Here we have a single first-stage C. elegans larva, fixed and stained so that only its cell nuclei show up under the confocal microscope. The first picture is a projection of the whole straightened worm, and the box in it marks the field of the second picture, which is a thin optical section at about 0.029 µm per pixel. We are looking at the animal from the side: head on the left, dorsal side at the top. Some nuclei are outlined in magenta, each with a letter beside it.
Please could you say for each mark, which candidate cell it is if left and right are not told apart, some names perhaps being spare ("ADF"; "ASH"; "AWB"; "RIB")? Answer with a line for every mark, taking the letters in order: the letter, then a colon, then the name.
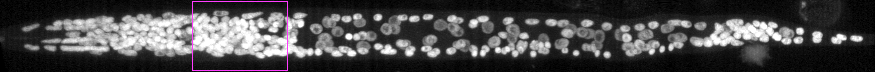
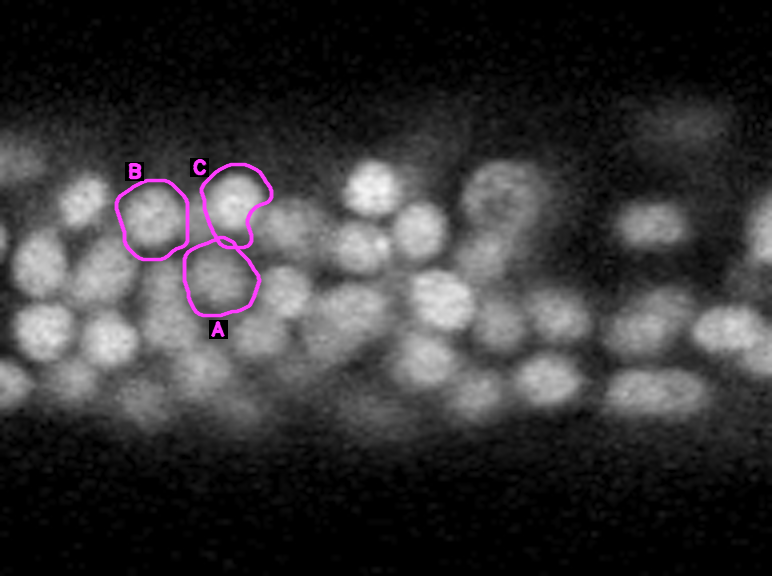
A: ASH
B: ADF
C: AWB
